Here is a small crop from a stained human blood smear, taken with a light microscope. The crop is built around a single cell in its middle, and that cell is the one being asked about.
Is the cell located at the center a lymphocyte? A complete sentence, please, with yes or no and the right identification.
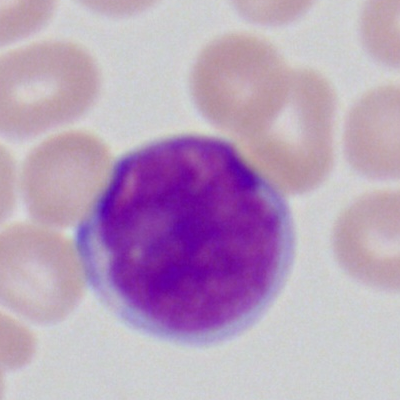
No, that guess of a lymphocyte misses; the central cell is a myeloblast.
